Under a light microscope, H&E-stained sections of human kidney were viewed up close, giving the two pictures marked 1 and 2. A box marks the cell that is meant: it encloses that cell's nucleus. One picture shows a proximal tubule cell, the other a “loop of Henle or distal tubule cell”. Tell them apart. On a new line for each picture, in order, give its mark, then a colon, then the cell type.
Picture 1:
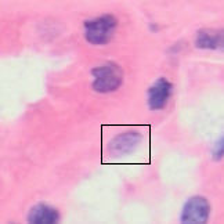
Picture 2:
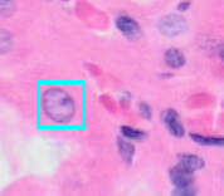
1: loop of Henle or distal tubule cell
2: proximal tubule cell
